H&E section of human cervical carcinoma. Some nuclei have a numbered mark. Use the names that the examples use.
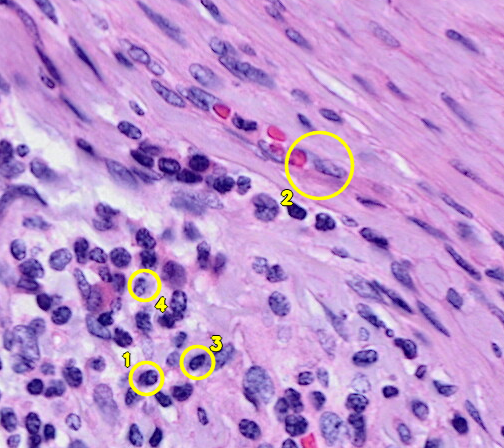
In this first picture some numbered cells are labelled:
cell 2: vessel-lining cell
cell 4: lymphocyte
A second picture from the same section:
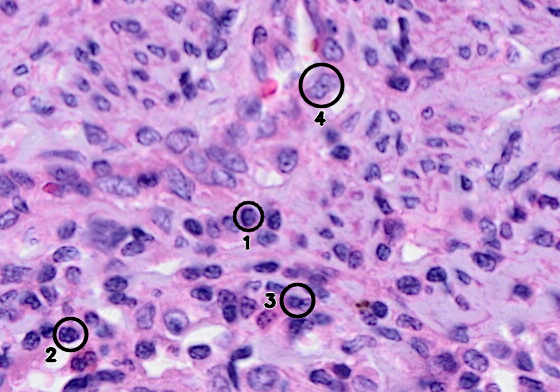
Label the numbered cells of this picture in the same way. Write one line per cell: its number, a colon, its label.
1: lymphocyte
2: lymphocyte
3: lymphocyte
4: vessel-lining cell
